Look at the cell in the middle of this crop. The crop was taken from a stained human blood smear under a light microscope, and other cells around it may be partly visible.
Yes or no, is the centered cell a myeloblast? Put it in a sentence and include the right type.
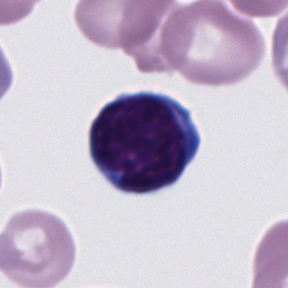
Yes, the cell centred in this crop is a myeloblast.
